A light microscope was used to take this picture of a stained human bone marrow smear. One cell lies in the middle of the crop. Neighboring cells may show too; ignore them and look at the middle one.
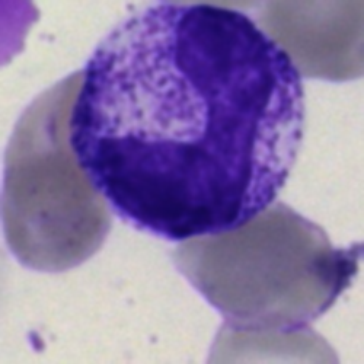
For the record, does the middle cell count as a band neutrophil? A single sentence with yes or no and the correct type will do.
Yes, that is a band neutrophil in the middle of the crop.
